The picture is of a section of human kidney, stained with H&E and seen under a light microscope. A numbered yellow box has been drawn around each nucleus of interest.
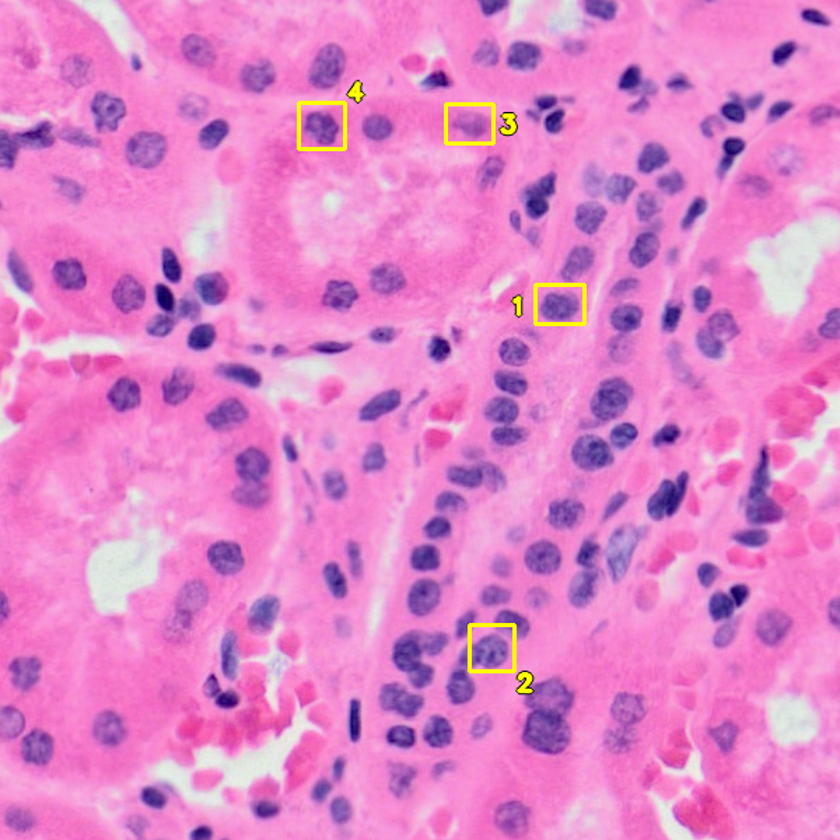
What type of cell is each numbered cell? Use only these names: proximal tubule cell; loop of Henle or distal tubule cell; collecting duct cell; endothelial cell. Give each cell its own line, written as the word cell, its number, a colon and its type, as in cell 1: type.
cell 1: collecting duct cell
cell 2: collecting duct cell
cell 3: proximal tubule cell
cell 4: proximal tubule cell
